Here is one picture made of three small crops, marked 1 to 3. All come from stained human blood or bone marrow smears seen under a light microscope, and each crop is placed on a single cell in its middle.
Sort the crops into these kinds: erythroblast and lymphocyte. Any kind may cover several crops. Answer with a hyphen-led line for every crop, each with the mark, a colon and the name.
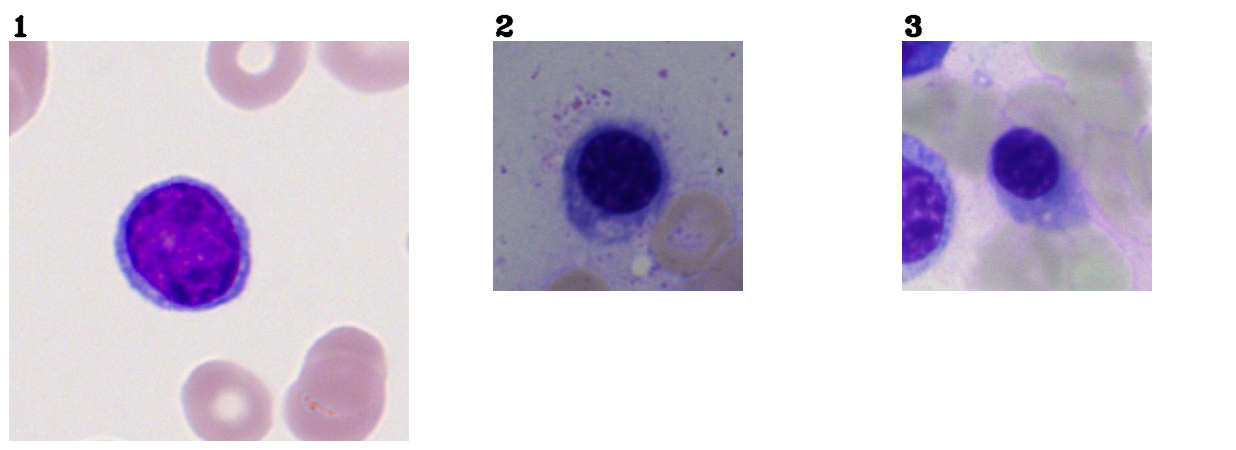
- 1: lymphocyte
- 2: erythroblast
- 3: erythroblast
